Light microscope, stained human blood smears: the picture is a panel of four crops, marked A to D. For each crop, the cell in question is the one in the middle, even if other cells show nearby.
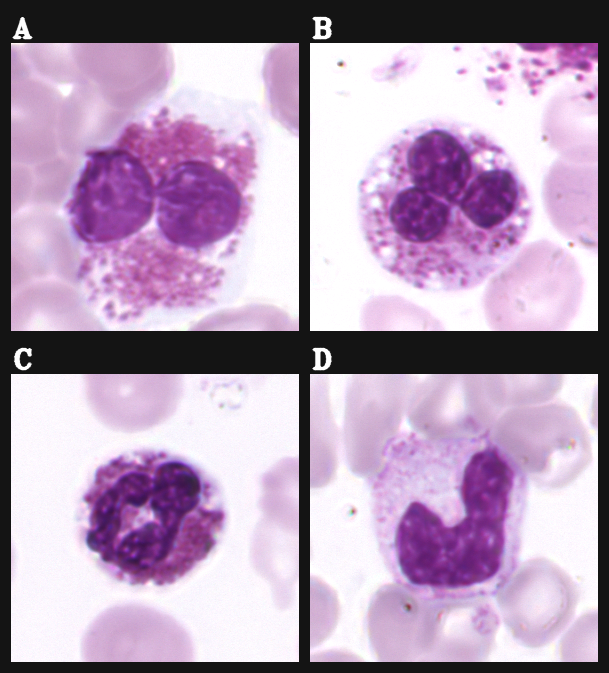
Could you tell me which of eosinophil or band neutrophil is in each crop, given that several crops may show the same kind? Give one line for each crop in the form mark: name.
A: eosinophil
B: eosinophil
C: eosinophil
D: band neutrophil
